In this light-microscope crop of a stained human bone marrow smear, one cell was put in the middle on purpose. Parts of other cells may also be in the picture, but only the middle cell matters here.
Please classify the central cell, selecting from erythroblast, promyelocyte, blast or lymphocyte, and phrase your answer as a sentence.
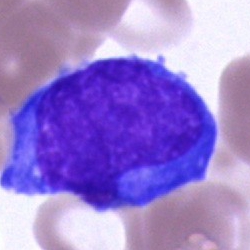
Centred in the crop is a blast.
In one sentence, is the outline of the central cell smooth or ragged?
An irregular outline, ragged or marked by projections, surrounds this cell.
